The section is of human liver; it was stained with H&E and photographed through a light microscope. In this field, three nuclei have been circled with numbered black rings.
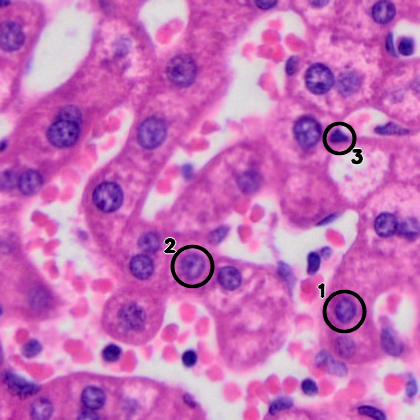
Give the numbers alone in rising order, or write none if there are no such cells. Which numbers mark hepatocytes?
1, 2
